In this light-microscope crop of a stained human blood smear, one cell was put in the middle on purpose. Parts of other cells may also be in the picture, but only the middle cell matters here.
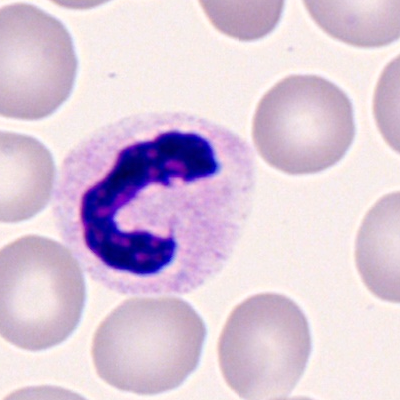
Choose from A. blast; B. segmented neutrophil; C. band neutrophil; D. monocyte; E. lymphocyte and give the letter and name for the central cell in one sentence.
With the cell in the middle being a band neutrophil, option C is the correct choice.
